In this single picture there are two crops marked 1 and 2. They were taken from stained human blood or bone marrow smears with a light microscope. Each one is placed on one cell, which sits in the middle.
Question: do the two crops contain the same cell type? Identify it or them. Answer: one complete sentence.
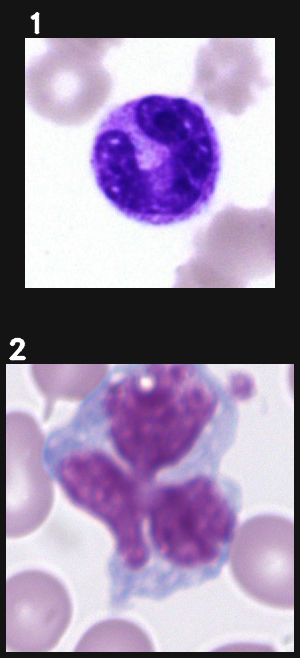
No, crop 2 holds a monocyte, while crop 1 holds a band neutrophil.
